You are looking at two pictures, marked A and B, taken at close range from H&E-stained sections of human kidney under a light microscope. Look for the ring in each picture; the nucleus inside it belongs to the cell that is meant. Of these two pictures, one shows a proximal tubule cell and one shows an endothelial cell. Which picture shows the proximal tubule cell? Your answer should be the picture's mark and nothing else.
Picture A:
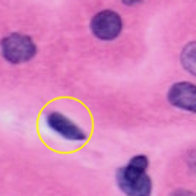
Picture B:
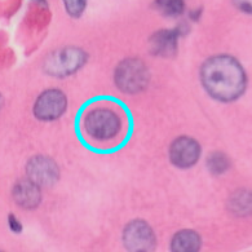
B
